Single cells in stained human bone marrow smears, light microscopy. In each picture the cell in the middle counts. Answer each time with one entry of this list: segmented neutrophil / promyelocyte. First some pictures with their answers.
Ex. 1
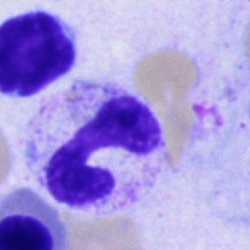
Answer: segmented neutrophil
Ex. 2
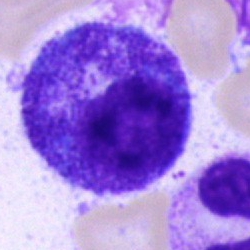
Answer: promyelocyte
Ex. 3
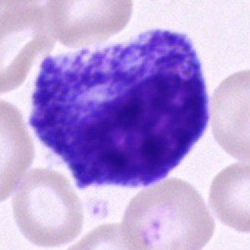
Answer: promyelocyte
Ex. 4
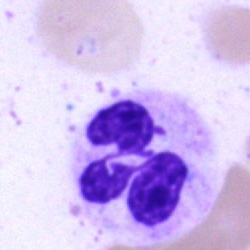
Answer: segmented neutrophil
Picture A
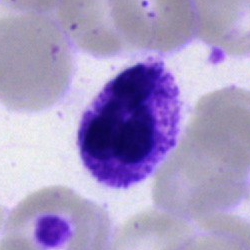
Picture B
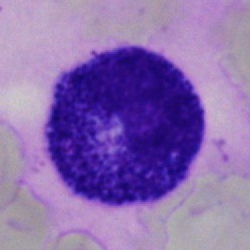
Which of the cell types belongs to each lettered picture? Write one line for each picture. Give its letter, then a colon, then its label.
A: segmented neutrophil
B: promyelocyte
